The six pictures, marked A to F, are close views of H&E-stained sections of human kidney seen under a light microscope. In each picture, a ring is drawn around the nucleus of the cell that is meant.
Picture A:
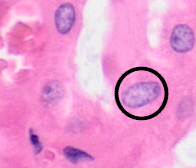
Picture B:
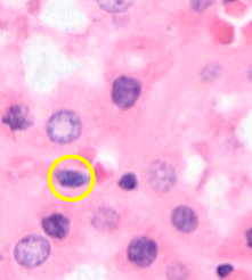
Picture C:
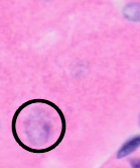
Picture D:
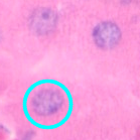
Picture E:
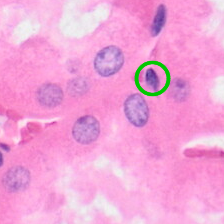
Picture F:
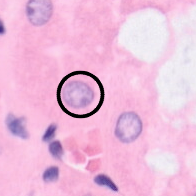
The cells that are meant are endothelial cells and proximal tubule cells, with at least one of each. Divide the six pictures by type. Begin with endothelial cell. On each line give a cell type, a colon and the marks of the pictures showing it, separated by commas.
endothelial cell: B, E
proximal tubule cell: A, C, D, F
